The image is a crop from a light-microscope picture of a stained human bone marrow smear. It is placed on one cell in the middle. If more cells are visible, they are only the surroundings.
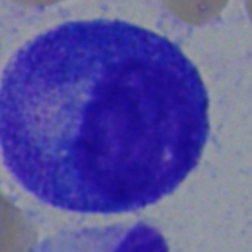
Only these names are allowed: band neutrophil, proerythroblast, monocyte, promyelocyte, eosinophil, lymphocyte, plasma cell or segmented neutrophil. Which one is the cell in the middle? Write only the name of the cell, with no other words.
promyelocyte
